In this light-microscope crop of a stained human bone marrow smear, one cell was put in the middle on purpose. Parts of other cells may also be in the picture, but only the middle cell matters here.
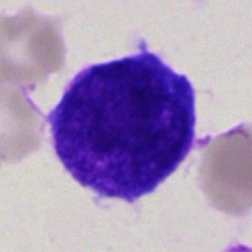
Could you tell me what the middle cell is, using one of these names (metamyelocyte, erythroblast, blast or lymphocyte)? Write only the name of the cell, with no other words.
blast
